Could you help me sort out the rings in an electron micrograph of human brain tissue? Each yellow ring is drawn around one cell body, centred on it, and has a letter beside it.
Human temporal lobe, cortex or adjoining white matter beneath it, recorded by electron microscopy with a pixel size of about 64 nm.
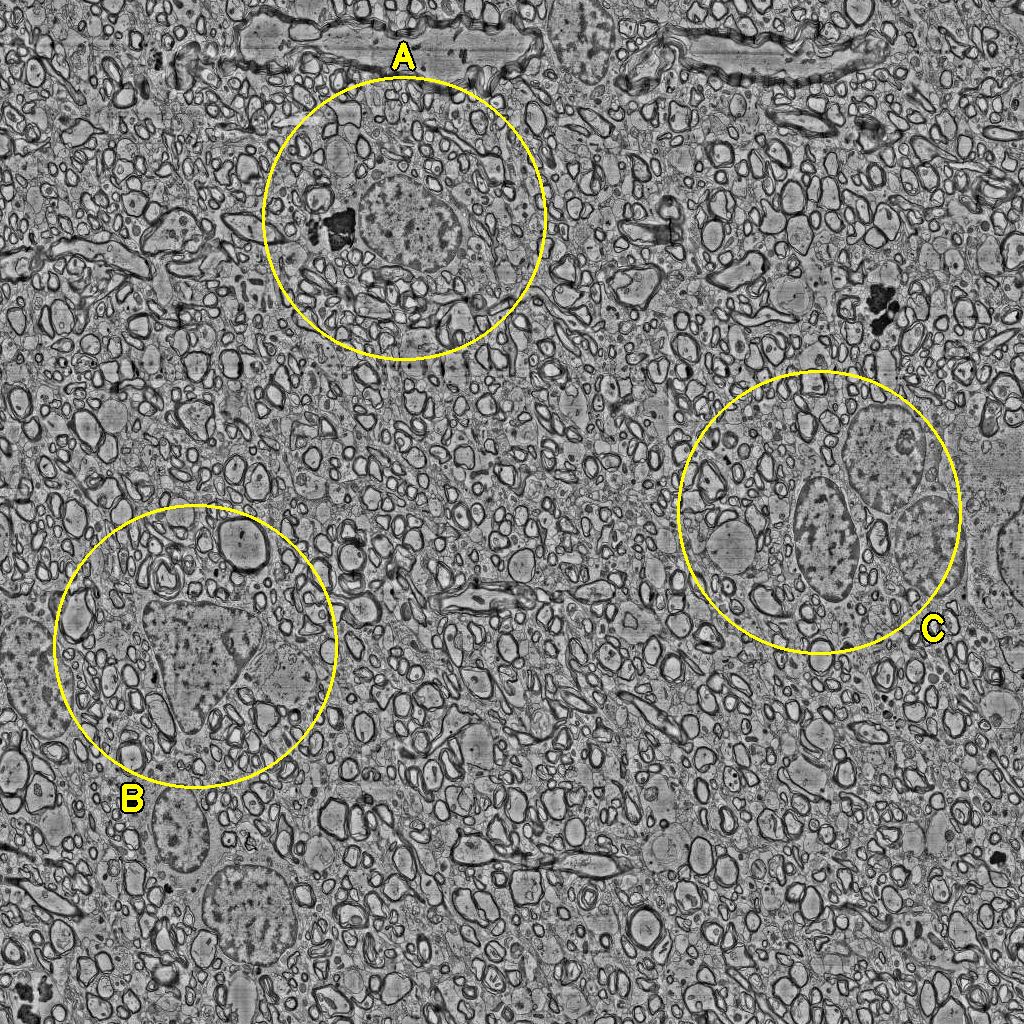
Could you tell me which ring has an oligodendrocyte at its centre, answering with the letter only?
A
